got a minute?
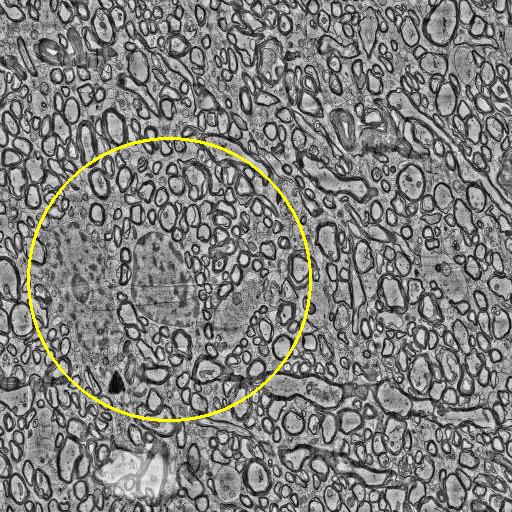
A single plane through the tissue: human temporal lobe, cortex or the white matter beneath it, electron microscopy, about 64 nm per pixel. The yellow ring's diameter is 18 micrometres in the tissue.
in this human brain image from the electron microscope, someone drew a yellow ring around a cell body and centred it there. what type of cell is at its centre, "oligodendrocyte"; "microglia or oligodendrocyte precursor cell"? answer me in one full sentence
It's a microglial cell or oligodendrocyte precursor cell at the middle of that yellow ring in the shot.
